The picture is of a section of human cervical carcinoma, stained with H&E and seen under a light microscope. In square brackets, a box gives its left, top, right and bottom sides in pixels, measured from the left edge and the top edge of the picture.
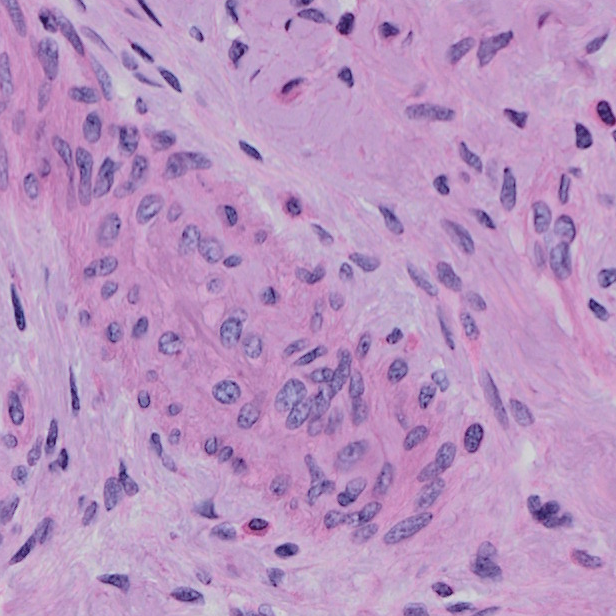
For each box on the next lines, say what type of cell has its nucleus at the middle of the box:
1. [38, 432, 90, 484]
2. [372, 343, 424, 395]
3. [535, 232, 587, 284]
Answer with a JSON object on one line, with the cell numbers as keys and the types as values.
{"1": "fibroblast", "2": "smooth muscle cell", "3": "endothelial cell"}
